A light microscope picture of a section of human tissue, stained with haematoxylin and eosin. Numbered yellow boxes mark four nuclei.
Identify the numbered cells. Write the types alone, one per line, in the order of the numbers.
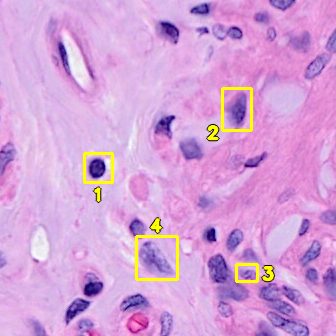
lymphocyte
smooth muscle cell
smooth muscle cell
fibroblast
